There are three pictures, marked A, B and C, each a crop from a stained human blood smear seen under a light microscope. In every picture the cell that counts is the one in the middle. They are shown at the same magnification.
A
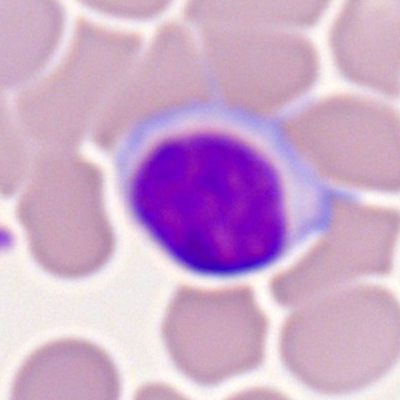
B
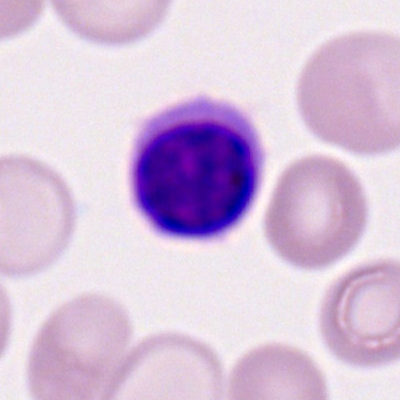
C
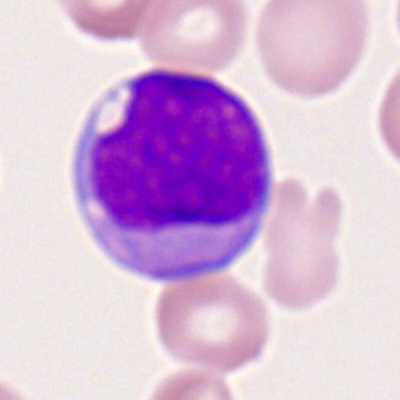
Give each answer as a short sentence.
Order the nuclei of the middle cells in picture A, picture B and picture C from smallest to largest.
Smallest first: B, A, C.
